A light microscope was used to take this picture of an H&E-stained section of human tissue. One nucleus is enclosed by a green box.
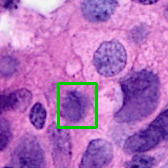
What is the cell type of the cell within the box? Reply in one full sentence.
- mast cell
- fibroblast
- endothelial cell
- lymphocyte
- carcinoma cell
For the purposes of cell typing, the cell within the box is categorized as a carcinoma cell.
